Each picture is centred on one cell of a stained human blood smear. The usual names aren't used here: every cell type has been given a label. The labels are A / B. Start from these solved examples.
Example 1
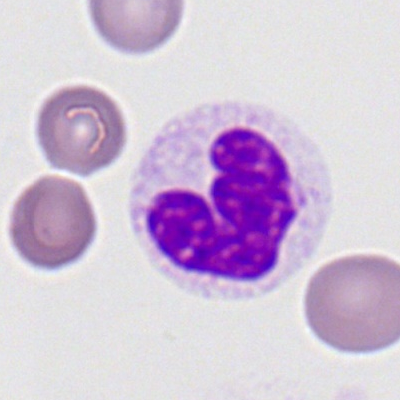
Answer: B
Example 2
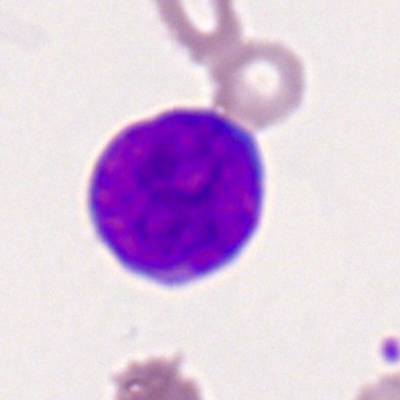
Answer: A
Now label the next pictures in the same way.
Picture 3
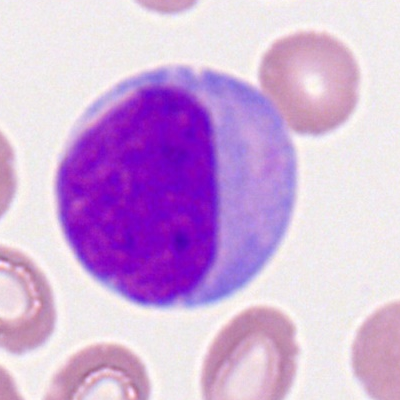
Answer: A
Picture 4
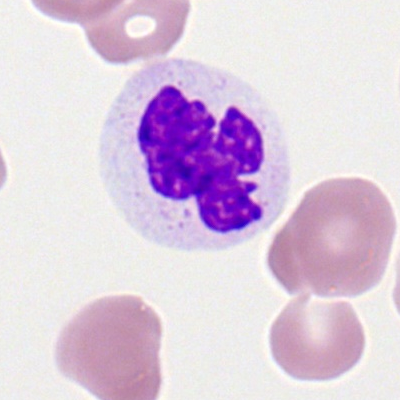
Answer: B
